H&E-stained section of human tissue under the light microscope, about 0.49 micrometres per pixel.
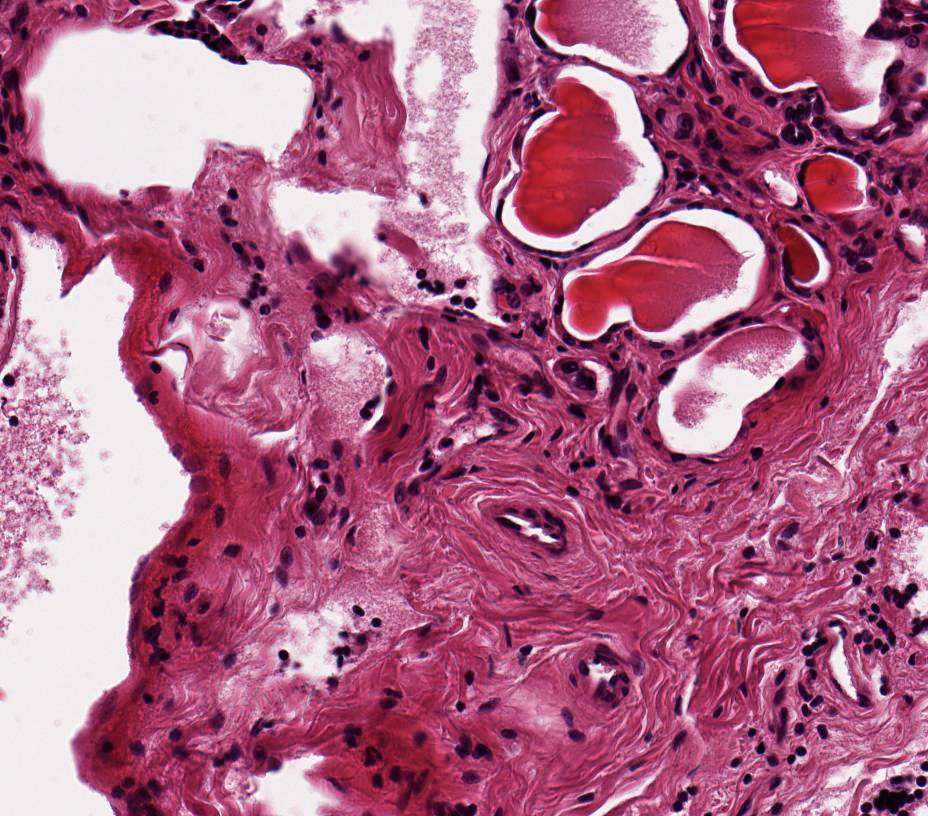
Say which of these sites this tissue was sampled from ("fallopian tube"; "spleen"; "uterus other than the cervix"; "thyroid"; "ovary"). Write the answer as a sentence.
The site this tissue was sampled from is the thyroid.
